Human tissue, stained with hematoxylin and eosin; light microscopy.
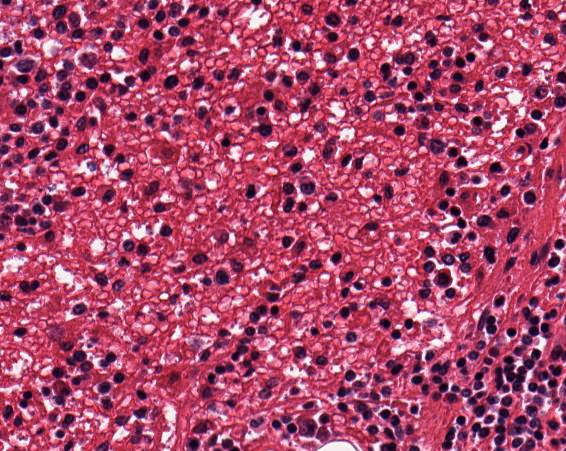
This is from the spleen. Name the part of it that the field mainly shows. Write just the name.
red pulp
